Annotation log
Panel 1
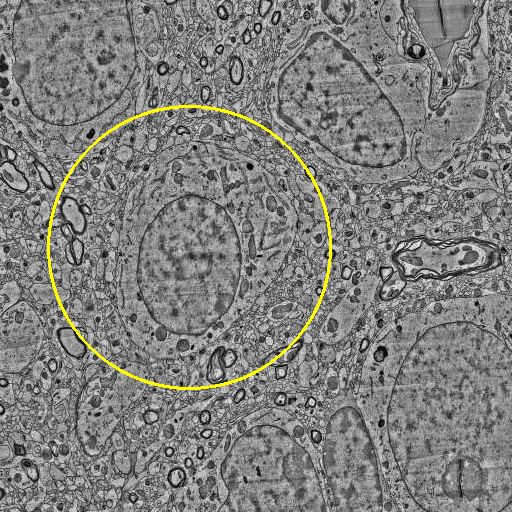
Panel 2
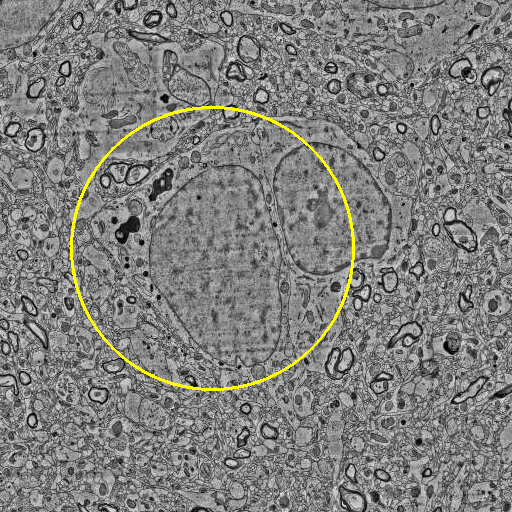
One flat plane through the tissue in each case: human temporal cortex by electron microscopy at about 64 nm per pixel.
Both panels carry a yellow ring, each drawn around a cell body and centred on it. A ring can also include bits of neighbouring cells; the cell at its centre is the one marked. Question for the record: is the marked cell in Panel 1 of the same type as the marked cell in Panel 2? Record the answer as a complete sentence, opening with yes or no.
No, the marked cells in Panel 1 and Panel 2 are of two types.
